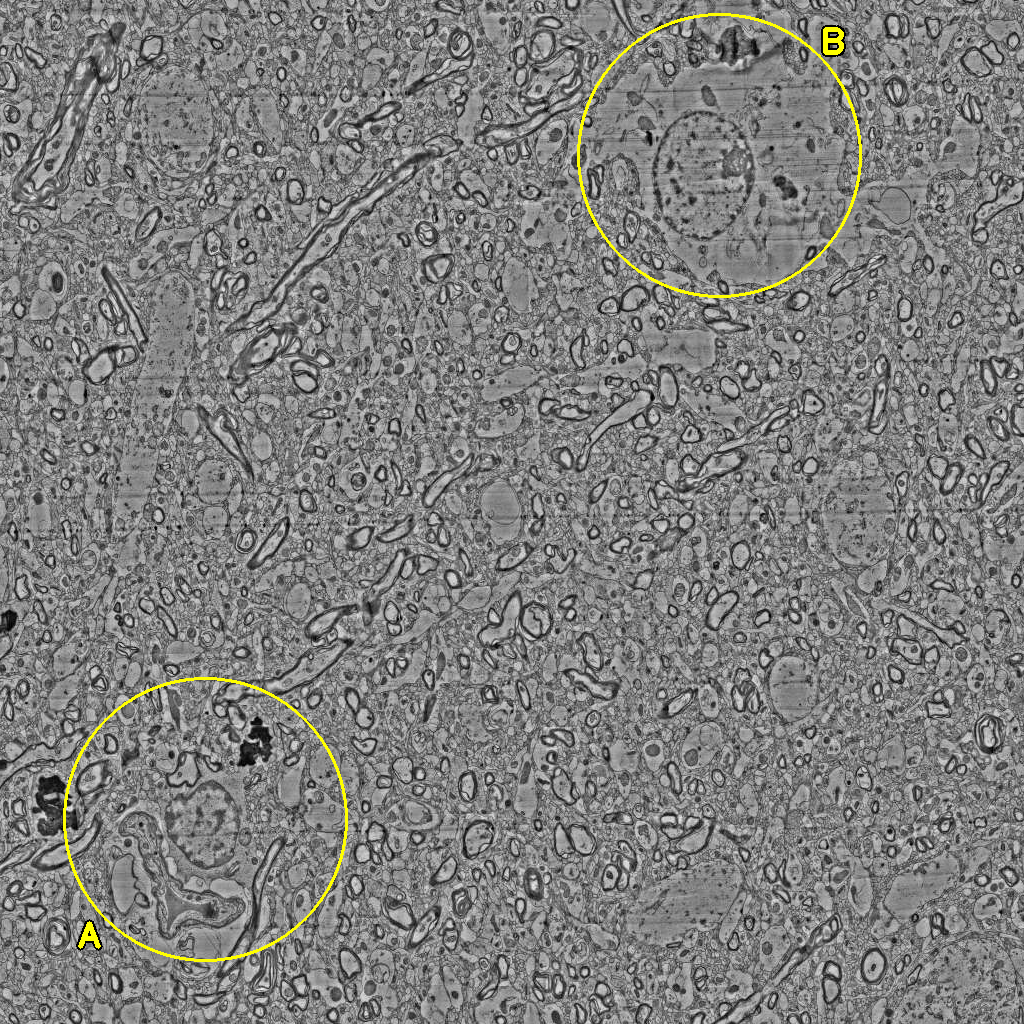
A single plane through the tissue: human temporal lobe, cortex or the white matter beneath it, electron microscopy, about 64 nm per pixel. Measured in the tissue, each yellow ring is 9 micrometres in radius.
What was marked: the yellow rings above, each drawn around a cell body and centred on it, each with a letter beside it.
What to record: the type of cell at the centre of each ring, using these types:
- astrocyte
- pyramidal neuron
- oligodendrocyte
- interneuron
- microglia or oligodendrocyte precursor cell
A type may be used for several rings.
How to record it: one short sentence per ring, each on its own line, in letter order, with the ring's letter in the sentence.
Centred in ring A is an oligodendrocyte.
Centred in ring B is an astrocyte.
